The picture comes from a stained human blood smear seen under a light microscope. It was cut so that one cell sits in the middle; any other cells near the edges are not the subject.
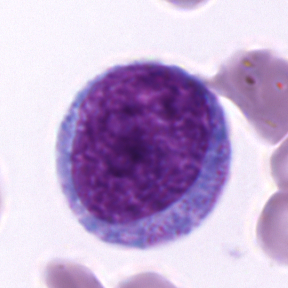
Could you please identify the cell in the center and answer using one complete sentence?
Classified as a promyelocyte is the cell in the middle of this crop.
